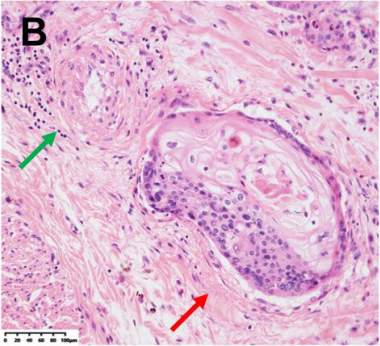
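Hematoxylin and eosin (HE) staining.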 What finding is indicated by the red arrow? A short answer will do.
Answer: Venous invasion.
